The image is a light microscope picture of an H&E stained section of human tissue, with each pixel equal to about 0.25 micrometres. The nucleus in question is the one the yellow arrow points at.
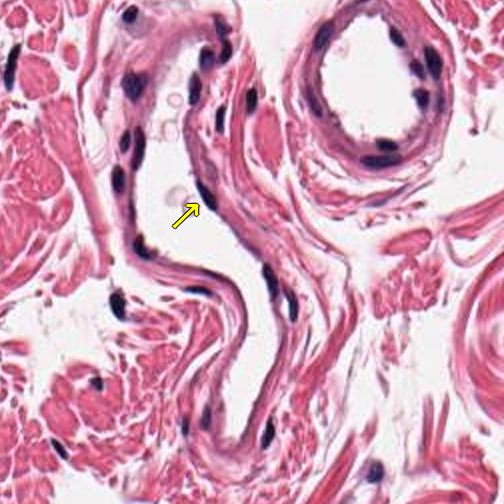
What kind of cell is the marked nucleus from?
endothelial cell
